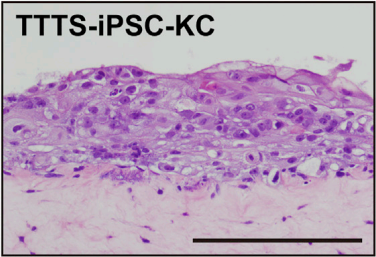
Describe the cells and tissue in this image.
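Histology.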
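The cells are crowded, with relatively large, dark purple oval nuclei and a modest rim of pink-purple cytoplasm. The layers are less orderly than in mature skin, and toward the top the cells flatten into a thin surface layer. Below the epithelium the matrix is pale and faintly fibrous, with a few scattered elongated nuclei.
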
